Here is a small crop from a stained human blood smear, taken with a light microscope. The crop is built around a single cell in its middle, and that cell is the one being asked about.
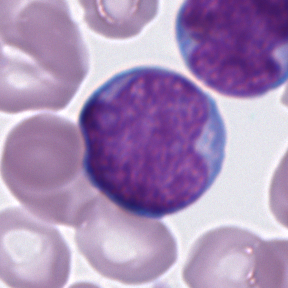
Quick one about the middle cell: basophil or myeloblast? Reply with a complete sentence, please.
The cell centred in this crop is categorized as a myeloblast.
